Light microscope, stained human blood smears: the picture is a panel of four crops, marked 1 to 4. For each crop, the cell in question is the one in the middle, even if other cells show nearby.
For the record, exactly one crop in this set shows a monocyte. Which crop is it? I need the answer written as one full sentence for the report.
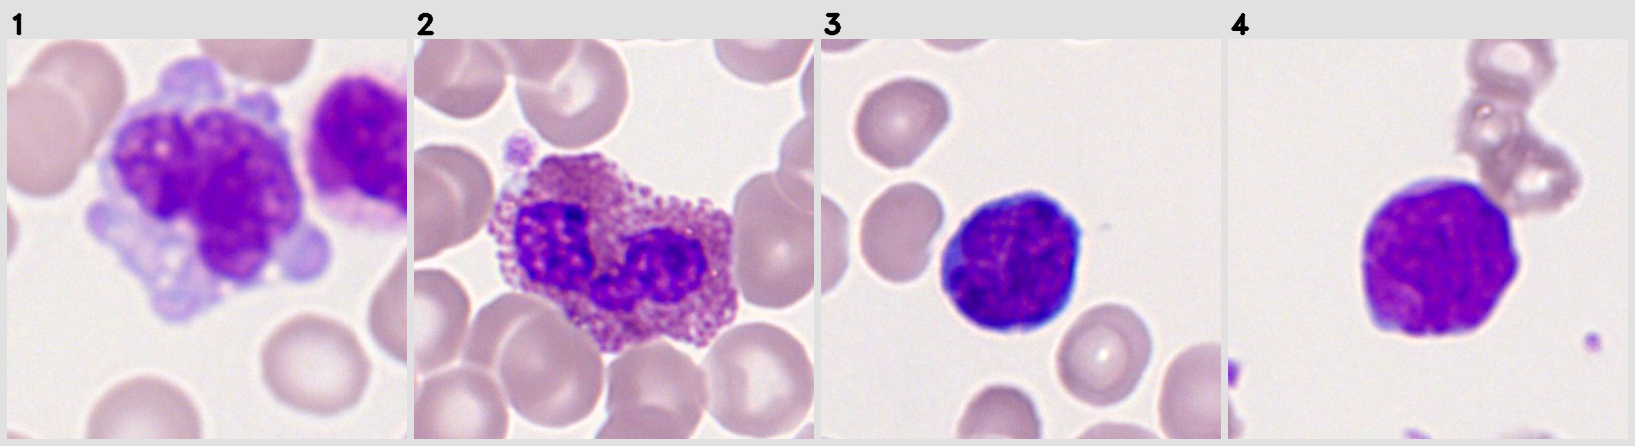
Crop 1 is the correct crop, and it shows a monocyte.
